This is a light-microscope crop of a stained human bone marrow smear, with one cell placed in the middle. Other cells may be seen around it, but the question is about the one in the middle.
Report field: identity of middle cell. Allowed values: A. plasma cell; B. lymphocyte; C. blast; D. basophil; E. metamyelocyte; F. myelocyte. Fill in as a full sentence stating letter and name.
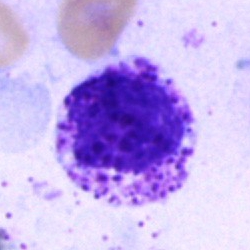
Option D is right, the centrally situated cell being a basophil.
